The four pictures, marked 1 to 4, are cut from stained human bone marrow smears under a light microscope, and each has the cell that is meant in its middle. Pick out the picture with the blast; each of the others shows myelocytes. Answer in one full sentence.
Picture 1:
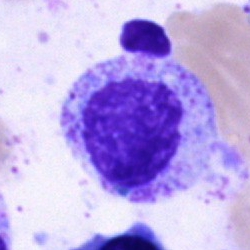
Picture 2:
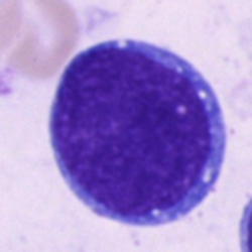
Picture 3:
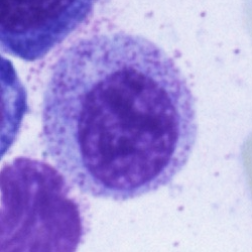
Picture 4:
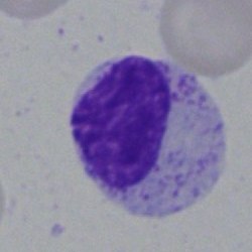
Picture 2 shows the blast.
